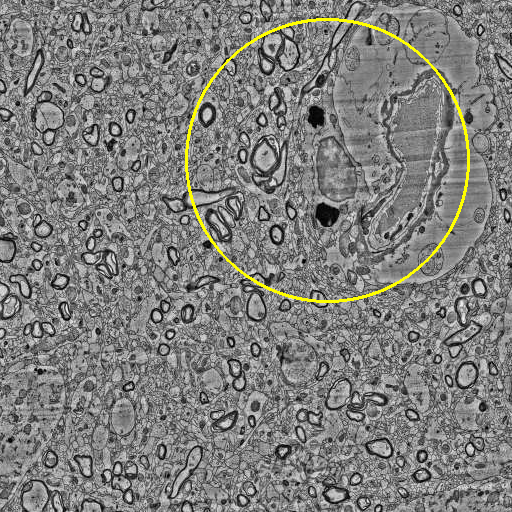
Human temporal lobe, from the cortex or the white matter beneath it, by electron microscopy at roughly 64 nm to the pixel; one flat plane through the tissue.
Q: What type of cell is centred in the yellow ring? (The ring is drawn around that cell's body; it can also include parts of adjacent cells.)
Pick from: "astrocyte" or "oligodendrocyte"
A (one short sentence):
The yellow ring is centred on an oligodendrocyte.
